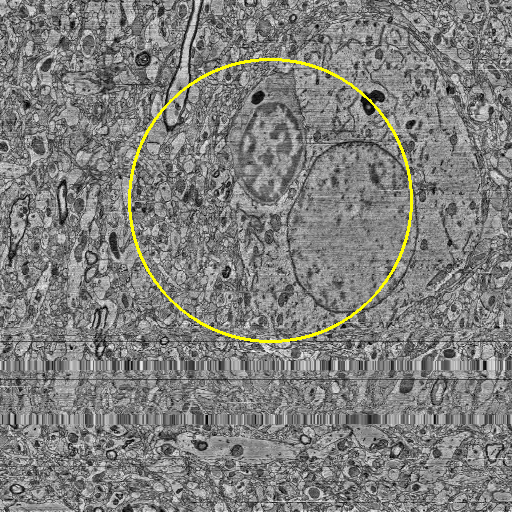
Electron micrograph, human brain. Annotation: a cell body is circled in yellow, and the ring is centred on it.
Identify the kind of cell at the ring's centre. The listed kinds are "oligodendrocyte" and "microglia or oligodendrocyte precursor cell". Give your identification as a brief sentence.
The circled cell body is that of an oligodendrocyte.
